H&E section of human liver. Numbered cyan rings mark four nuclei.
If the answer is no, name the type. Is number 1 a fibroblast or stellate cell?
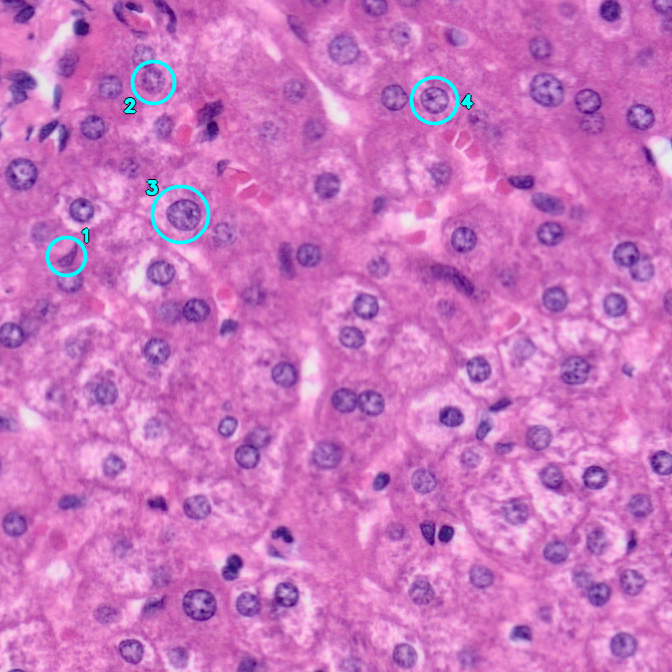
Yes.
